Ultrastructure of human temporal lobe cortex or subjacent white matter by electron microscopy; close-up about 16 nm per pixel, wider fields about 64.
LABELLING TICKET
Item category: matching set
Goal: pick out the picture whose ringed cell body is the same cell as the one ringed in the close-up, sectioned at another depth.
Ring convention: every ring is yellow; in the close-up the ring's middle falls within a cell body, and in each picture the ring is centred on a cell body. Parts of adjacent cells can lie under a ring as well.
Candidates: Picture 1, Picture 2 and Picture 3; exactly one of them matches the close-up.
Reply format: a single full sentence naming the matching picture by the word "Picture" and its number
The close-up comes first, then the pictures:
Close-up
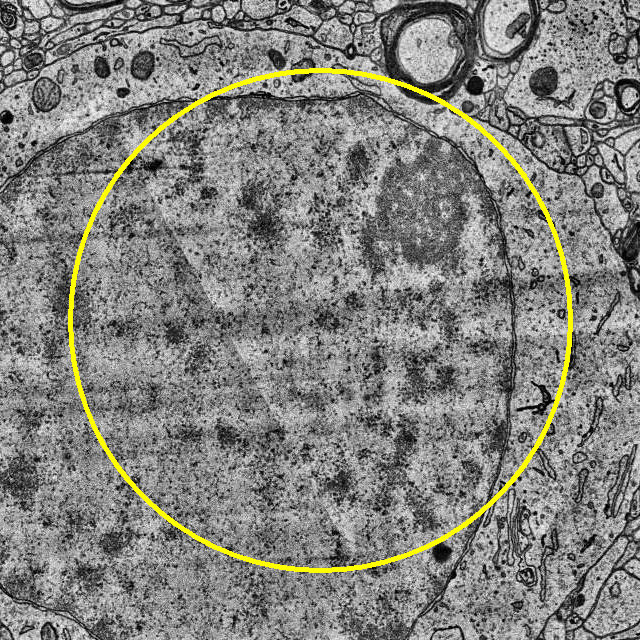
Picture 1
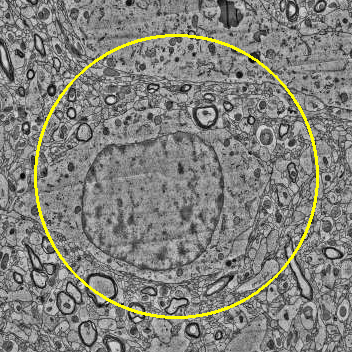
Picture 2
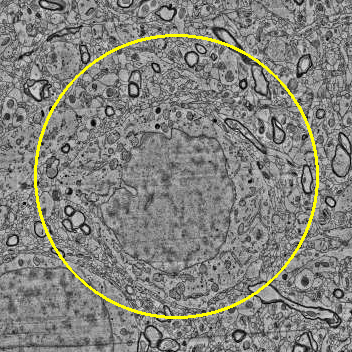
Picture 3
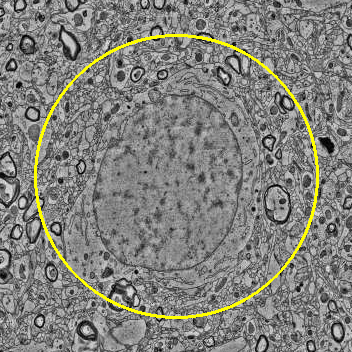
The cell examined up close is the one ringed in Picture 1.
